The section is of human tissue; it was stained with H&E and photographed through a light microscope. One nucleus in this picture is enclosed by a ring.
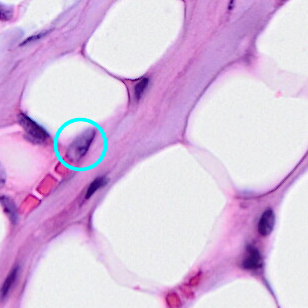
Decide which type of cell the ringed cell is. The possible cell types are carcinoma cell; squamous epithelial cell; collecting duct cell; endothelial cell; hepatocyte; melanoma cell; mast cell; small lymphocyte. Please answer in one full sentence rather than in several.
Microscopically, the ringed cell is categorized as an endothelial cell.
